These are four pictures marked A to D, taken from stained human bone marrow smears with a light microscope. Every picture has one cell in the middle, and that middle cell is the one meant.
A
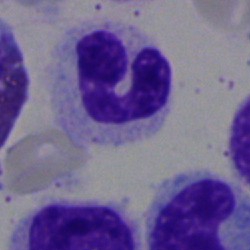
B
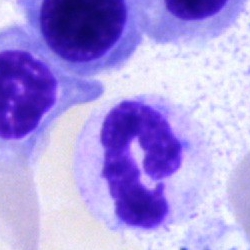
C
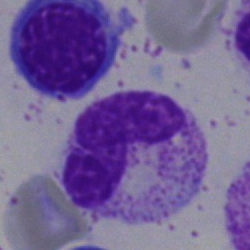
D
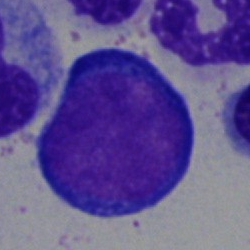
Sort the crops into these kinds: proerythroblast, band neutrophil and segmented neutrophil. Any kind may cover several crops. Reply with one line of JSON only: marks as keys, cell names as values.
{"A": "segmented neutrophil", "B": "segmented neutrophil", "C": "band neutrophil", "D": "proerythroblast"}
